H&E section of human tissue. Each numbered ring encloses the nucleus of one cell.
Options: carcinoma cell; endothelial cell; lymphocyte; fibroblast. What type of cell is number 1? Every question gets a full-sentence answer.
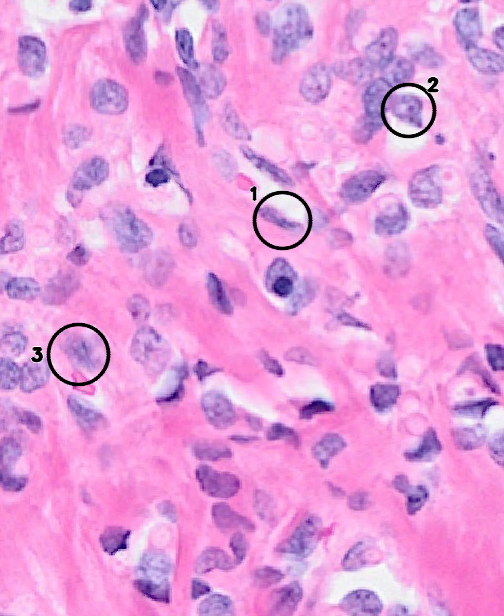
The expected answer is that cell 1 is an endothelial cell.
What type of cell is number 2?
Regarding cell 2, this one is a carcinoma cell.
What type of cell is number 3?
The cell indicated with the number 3 is classed as an endothelial cell.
